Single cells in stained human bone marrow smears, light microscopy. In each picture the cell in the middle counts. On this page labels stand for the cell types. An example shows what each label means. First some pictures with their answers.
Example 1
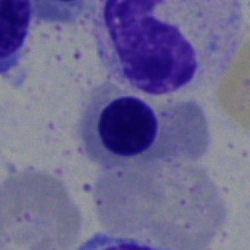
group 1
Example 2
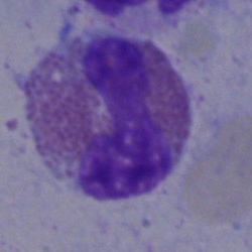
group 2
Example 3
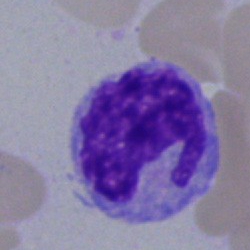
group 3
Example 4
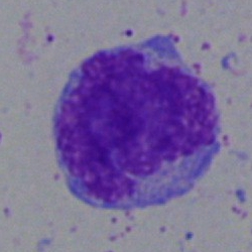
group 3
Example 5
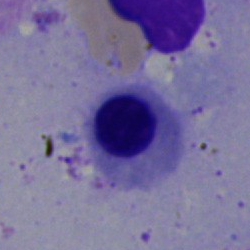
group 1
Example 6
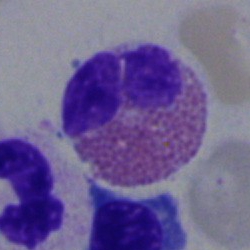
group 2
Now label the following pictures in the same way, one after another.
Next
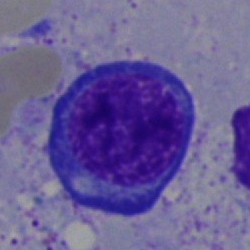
group 1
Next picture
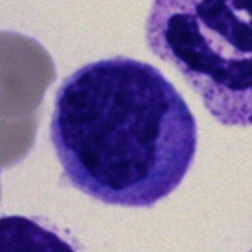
group 3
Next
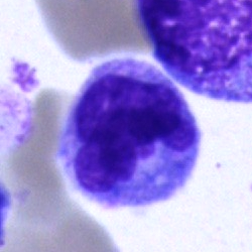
group 3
